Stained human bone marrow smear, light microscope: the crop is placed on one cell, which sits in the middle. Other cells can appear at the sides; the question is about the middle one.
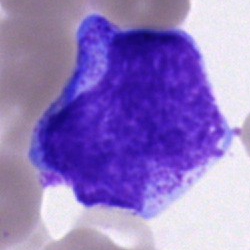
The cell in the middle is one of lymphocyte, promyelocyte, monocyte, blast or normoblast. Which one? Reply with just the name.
promyelocyte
